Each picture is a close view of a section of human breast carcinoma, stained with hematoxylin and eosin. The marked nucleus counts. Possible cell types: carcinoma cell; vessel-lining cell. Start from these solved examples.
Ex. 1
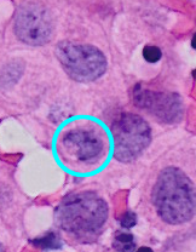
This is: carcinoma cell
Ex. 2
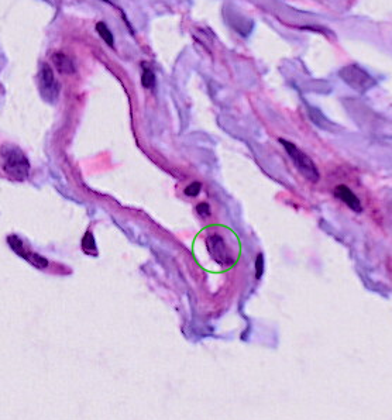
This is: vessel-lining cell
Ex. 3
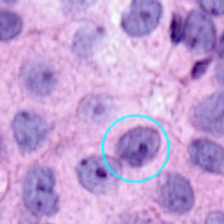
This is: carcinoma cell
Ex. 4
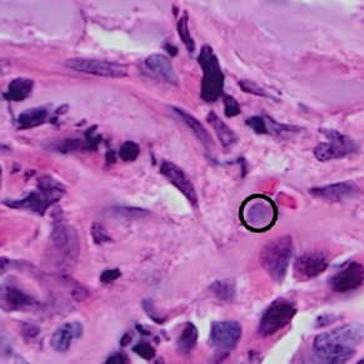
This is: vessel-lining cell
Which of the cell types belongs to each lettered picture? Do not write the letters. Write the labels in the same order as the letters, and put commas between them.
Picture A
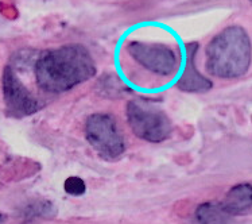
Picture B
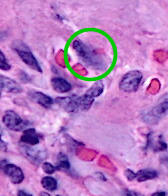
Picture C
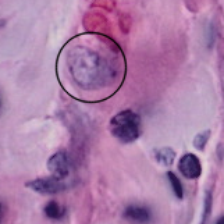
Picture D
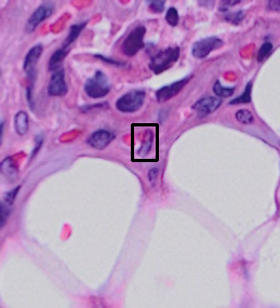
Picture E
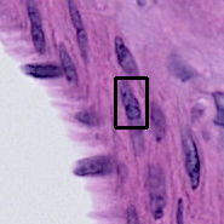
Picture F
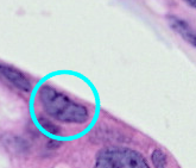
carcinoma cell, vessel-lining cell, vessel-lining cell, vessel-lining cell, vessel-lining cell, carcinoma cell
